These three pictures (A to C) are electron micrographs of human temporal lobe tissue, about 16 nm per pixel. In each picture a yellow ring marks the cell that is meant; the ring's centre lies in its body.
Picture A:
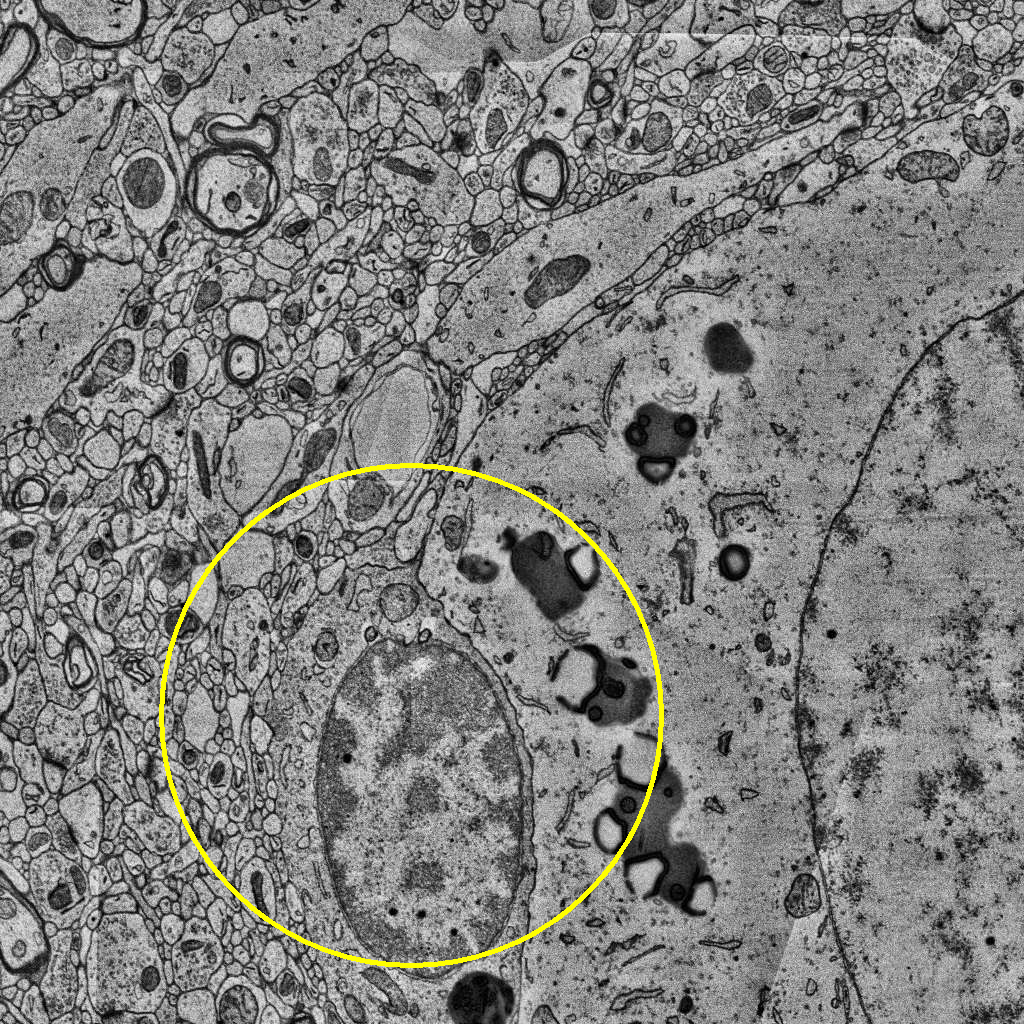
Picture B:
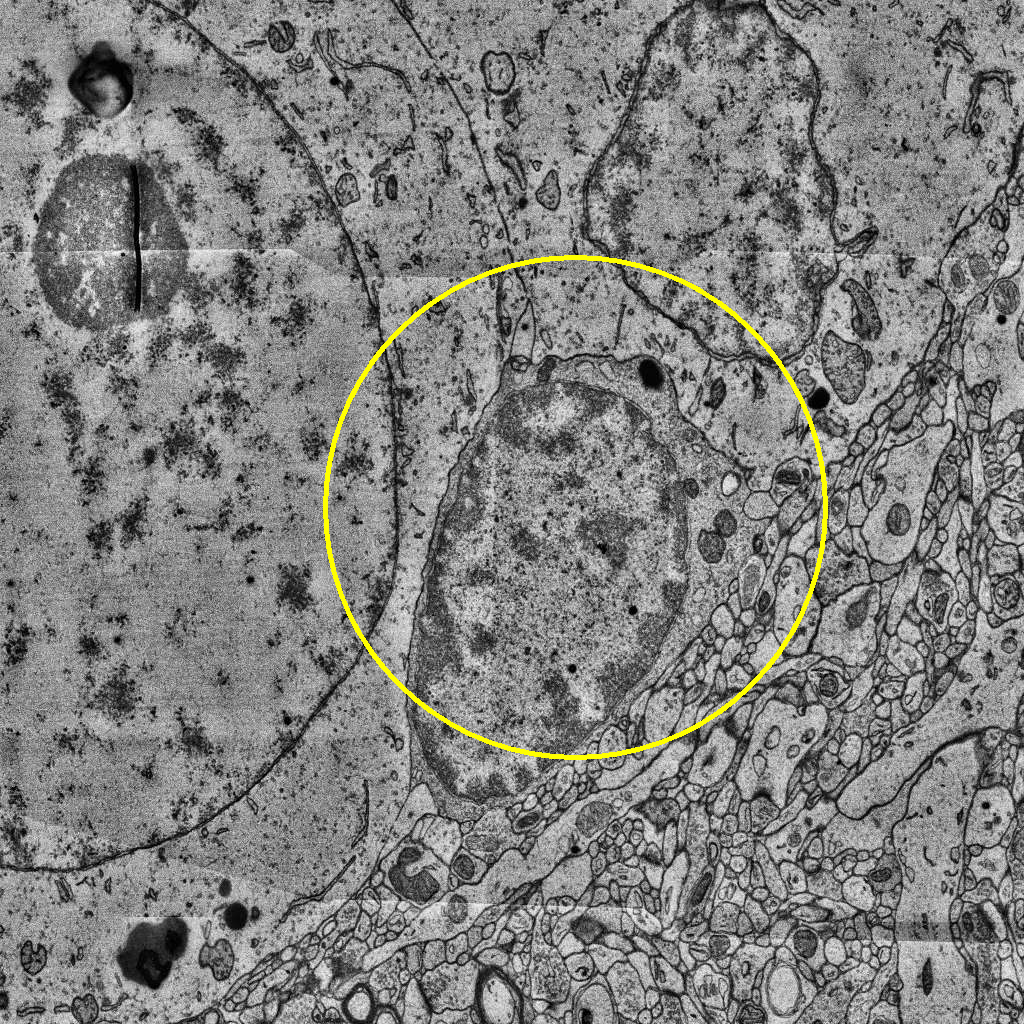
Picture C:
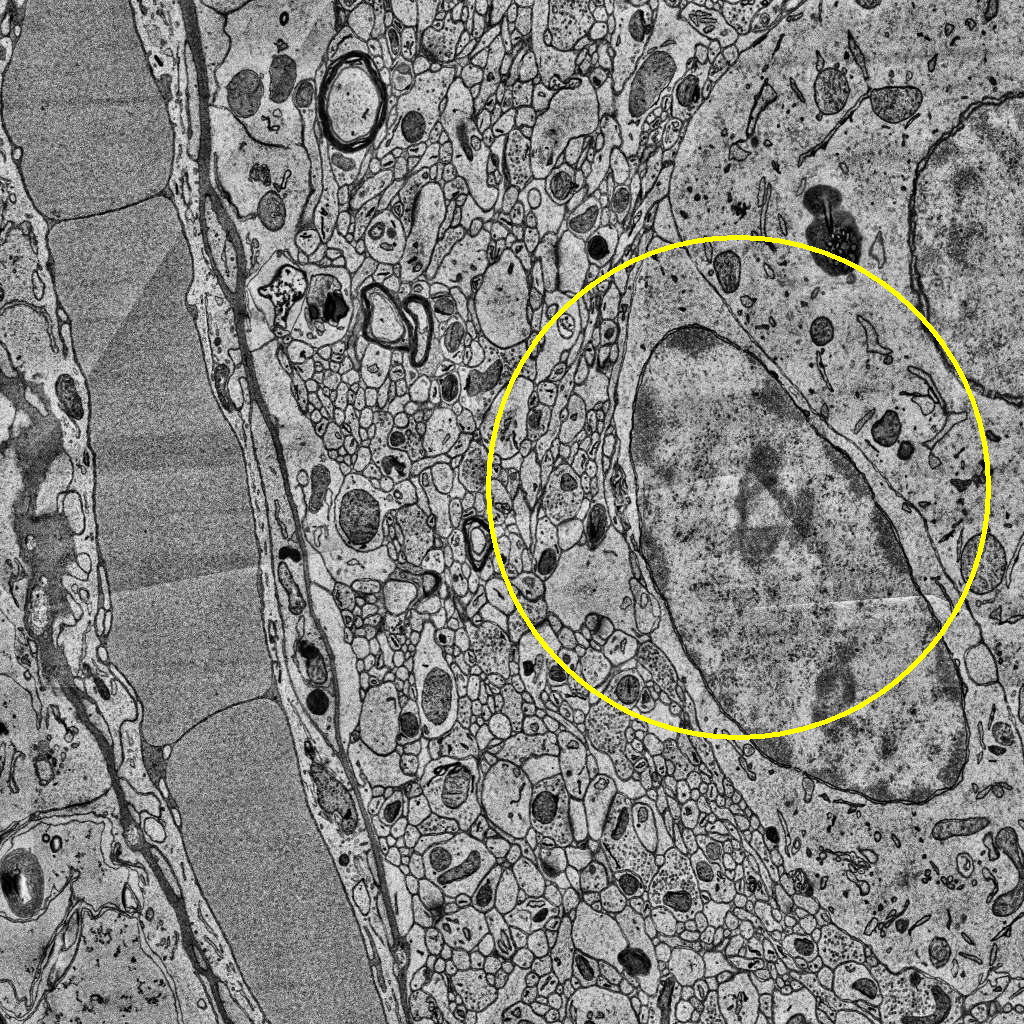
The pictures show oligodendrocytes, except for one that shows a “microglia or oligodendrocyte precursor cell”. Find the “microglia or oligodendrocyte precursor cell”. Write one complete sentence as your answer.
The “microglia or oligodendrocyte precursor cell” is the one in picture C.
